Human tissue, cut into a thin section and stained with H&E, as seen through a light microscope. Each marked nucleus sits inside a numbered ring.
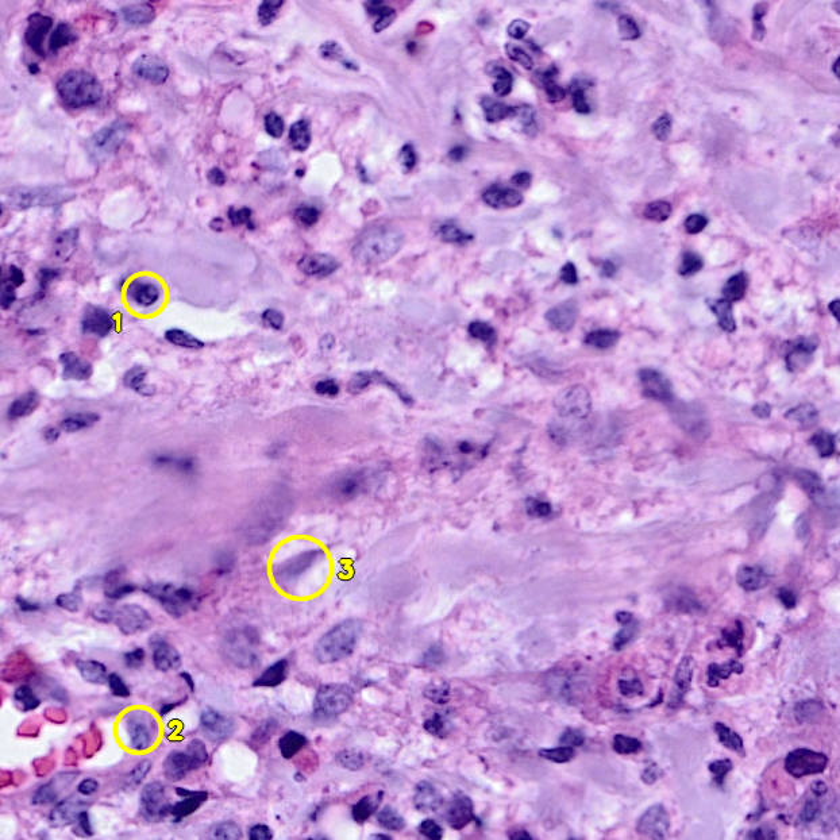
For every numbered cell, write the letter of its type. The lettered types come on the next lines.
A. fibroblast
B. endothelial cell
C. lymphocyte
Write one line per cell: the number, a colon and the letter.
1: C
2: B
3: A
